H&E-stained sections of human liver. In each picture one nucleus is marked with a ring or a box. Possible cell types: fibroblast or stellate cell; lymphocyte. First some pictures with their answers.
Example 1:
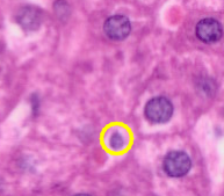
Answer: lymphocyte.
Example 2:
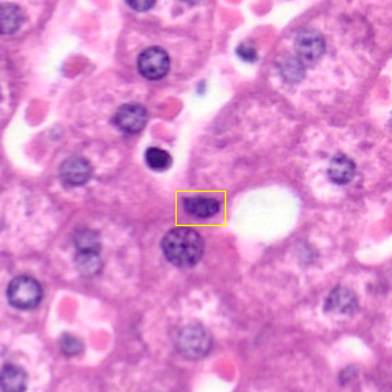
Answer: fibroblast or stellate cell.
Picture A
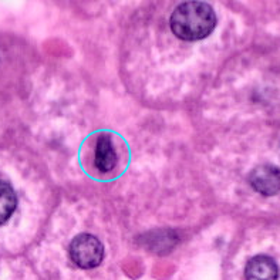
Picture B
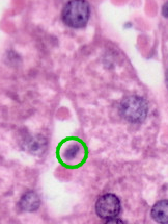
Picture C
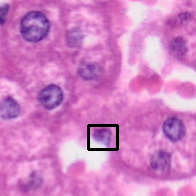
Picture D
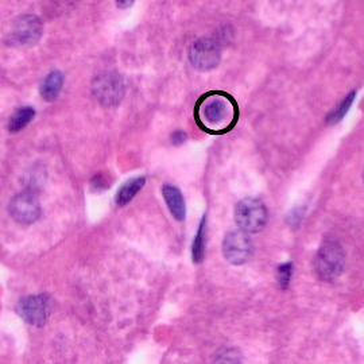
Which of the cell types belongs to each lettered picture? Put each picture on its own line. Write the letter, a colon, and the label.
A: fibroblast or stellate cell.
B: lymphocyte.
C: fibroblast or stellate cell.
D: lymphocyte.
